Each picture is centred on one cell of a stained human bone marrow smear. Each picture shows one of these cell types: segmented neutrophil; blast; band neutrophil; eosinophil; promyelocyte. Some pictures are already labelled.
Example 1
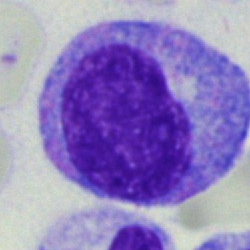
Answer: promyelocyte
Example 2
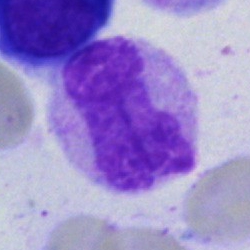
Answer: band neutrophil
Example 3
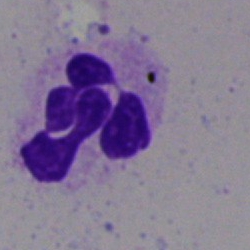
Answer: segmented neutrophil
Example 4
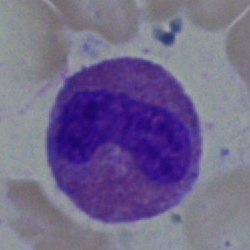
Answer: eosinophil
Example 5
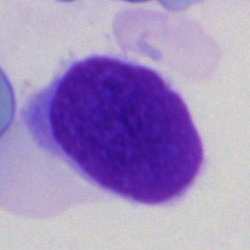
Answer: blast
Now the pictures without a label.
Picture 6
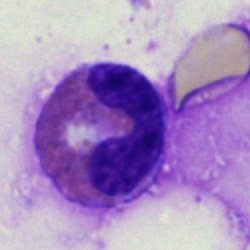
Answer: eosinophil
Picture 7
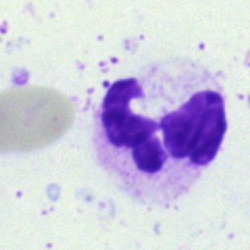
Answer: segmented neutrophil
